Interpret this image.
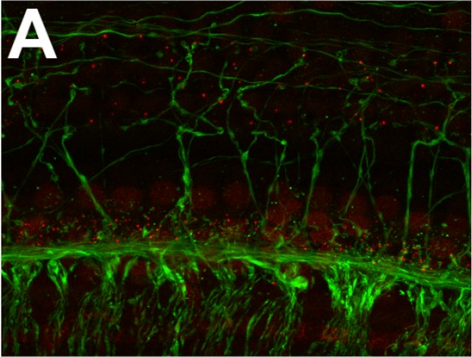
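This is a whole-mount view of the organ of Corti showing its innervating nerve fibres in green. Near the top these fibres branch and join thin strands running lengthwise along the organ. Small red dots are scattered over the field, with faint rounded red profiles in a row near the lower fibre band.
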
